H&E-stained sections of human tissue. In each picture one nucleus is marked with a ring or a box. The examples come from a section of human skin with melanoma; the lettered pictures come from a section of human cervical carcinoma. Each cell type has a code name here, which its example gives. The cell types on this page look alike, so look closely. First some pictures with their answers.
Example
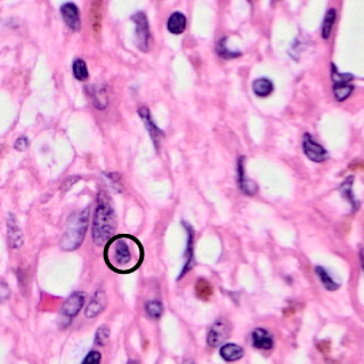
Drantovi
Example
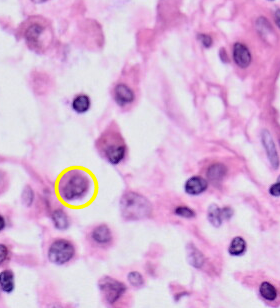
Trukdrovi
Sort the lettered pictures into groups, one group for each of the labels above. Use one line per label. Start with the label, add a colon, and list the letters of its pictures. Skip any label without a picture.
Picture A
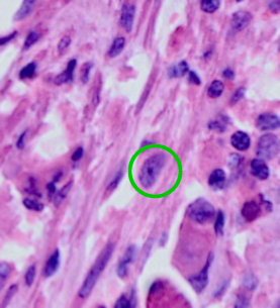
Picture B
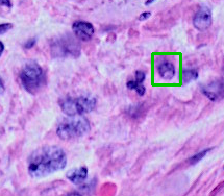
Trukdrovi: A, B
